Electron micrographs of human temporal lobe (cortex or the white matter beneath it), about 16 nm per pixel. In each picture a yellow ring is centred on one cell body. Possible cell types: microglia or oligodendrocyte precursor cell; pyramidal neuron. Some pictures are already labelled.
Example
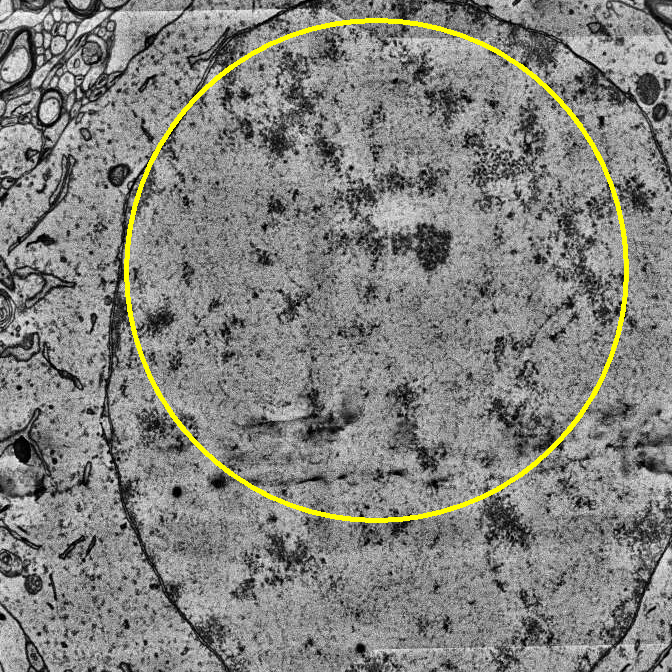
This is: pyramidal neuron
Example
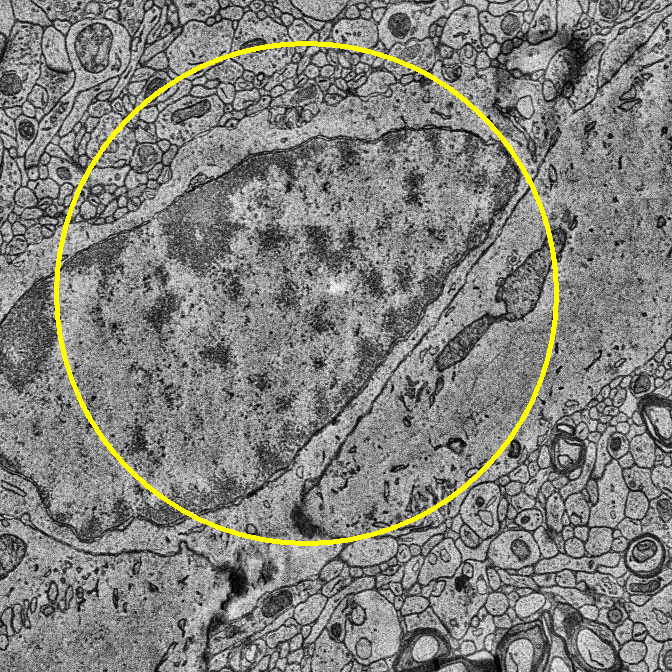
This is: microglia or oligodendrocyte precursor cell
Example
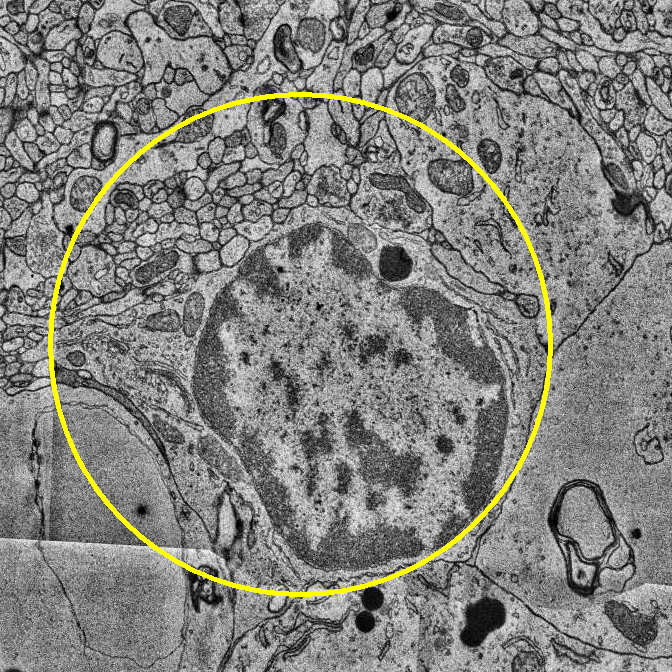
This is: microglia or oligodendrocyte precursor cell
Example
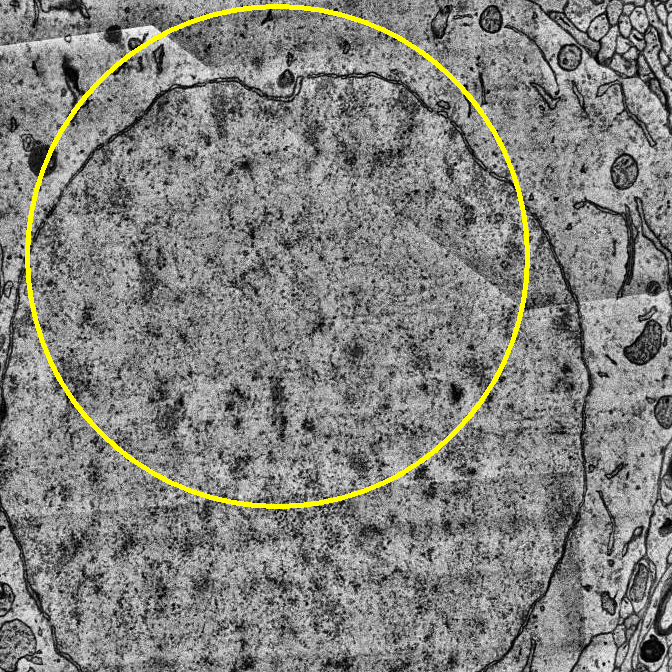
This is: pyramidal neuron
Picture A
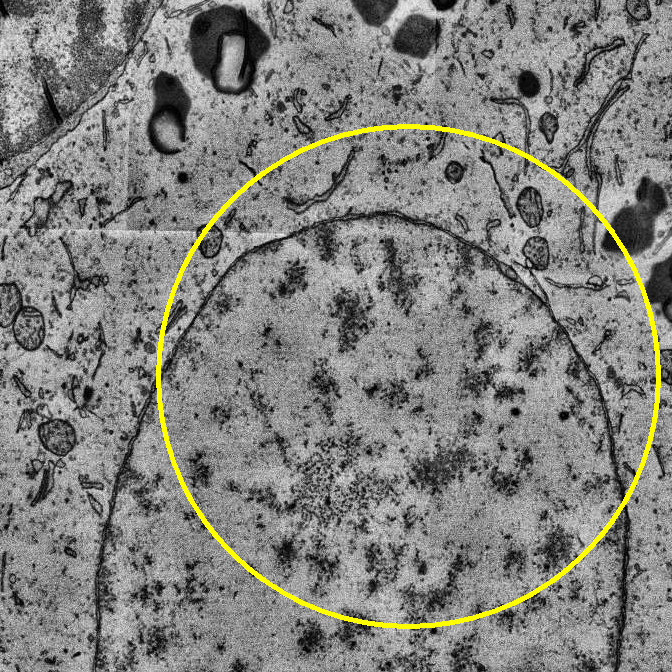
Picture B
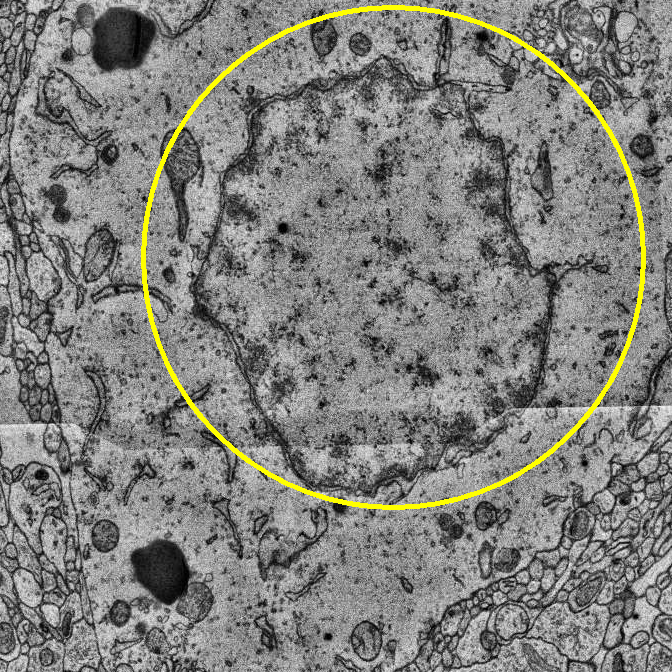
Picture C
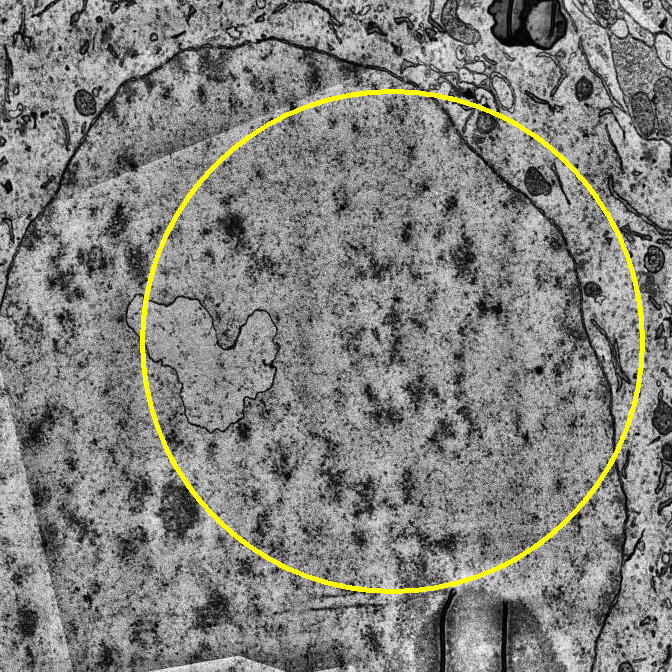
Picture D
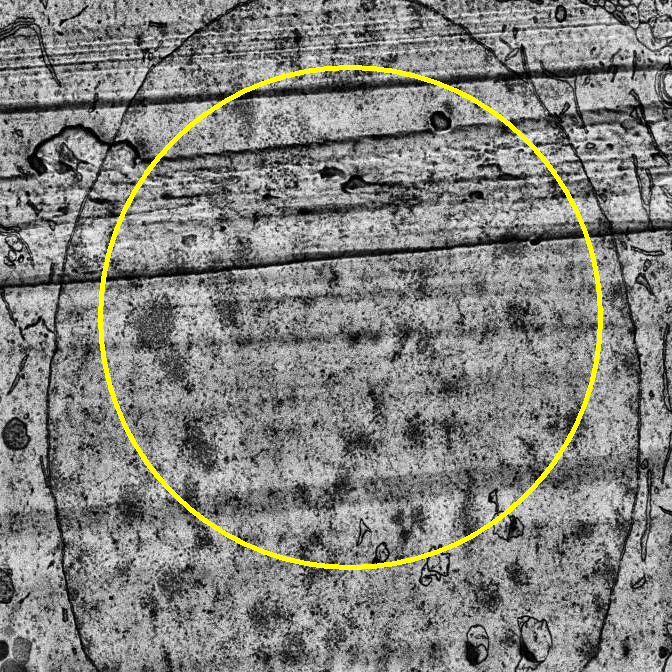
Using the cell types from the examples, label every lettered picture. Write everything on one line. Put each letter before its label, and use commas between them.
A pyramidal neuron, B pyramidal neuron, C pyramidal neuron, D pyramidal neuron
